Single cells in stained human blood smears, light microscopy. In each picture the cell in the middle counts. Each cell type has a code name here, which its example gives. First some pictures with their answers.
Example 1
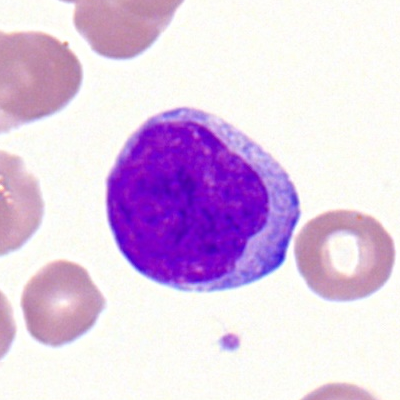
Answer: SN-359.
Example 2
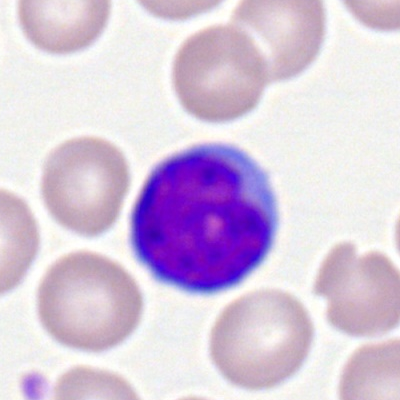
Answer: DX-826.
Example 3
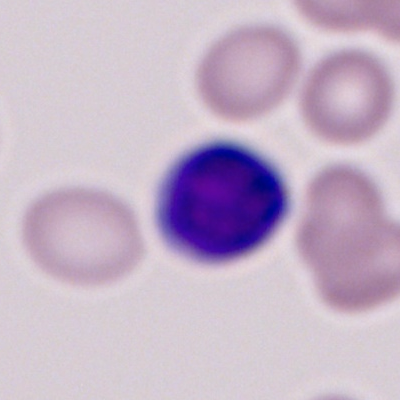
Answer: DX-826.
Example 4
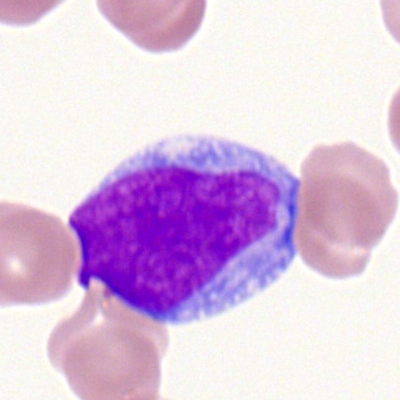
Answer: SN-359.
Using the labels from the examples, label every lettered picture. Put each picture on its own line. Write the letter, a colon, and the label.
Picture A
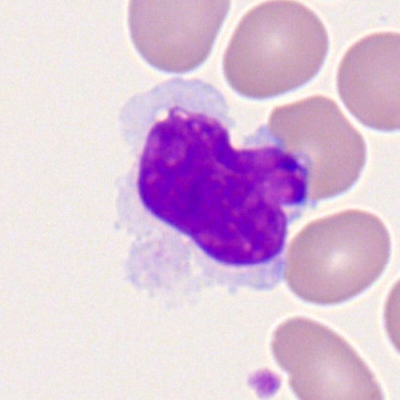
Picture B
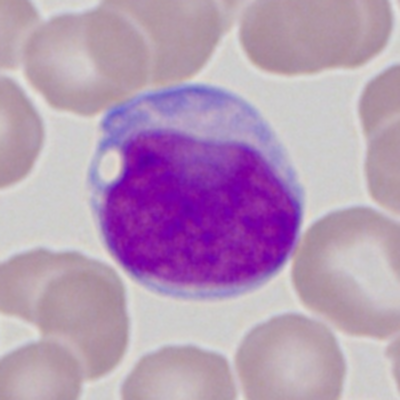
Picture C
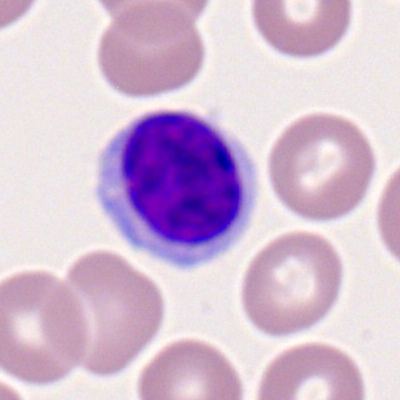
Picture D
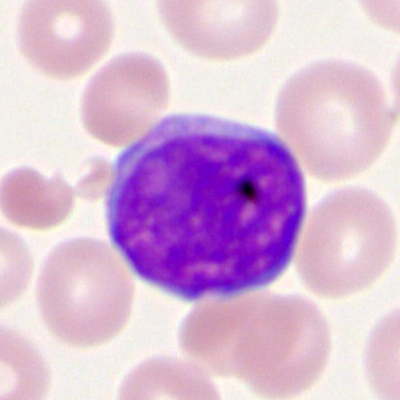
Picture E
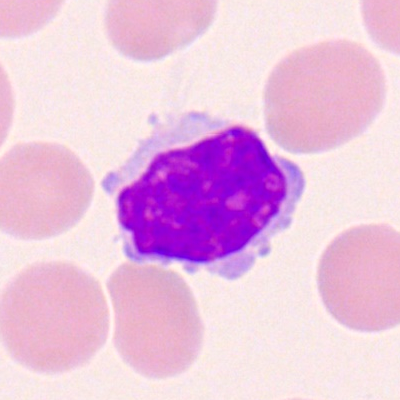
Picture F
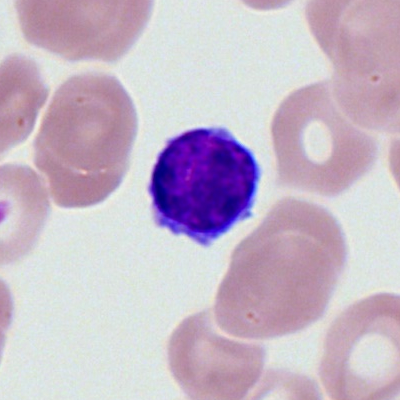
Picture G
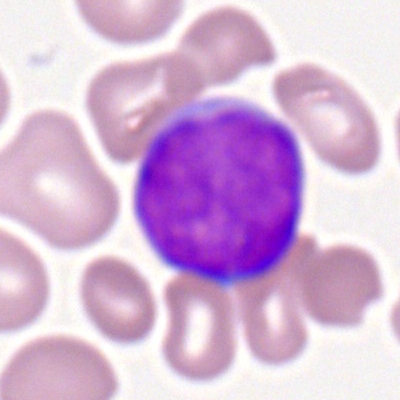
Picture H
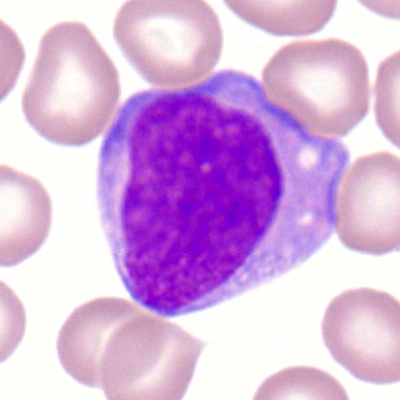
A: DX-826.
B: SN-359.
C: DX-826.
D: SN-359.
E: DX-826.
F: DX-826.
G: SN-359.
H: SN-359.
